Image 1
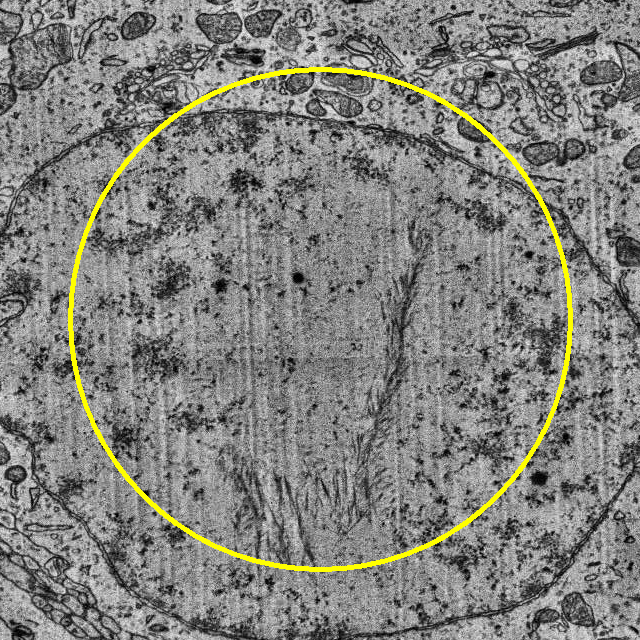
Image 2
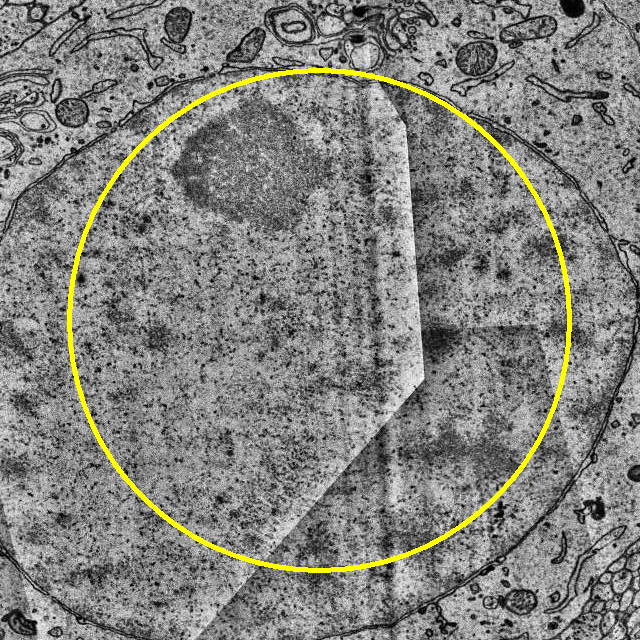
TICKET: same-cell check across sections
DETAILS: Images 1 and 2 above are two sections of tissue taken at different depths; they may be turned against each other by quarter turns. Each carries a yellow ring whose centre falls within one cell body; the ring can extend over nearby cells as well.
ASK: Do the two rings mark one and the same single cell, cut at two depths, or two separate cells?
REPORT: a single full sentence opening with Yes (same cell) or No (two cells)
No, the two rings are drawn around two distinct cells.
